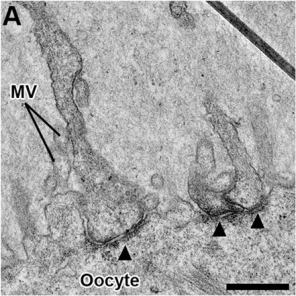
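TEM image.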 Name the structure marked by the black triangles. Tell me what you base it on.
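Adherens junctions. The triangles point to dark, electron-dense bands where the ends of processes meet the oocyte surface. The dense bands run along the membrane at the contact site.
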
